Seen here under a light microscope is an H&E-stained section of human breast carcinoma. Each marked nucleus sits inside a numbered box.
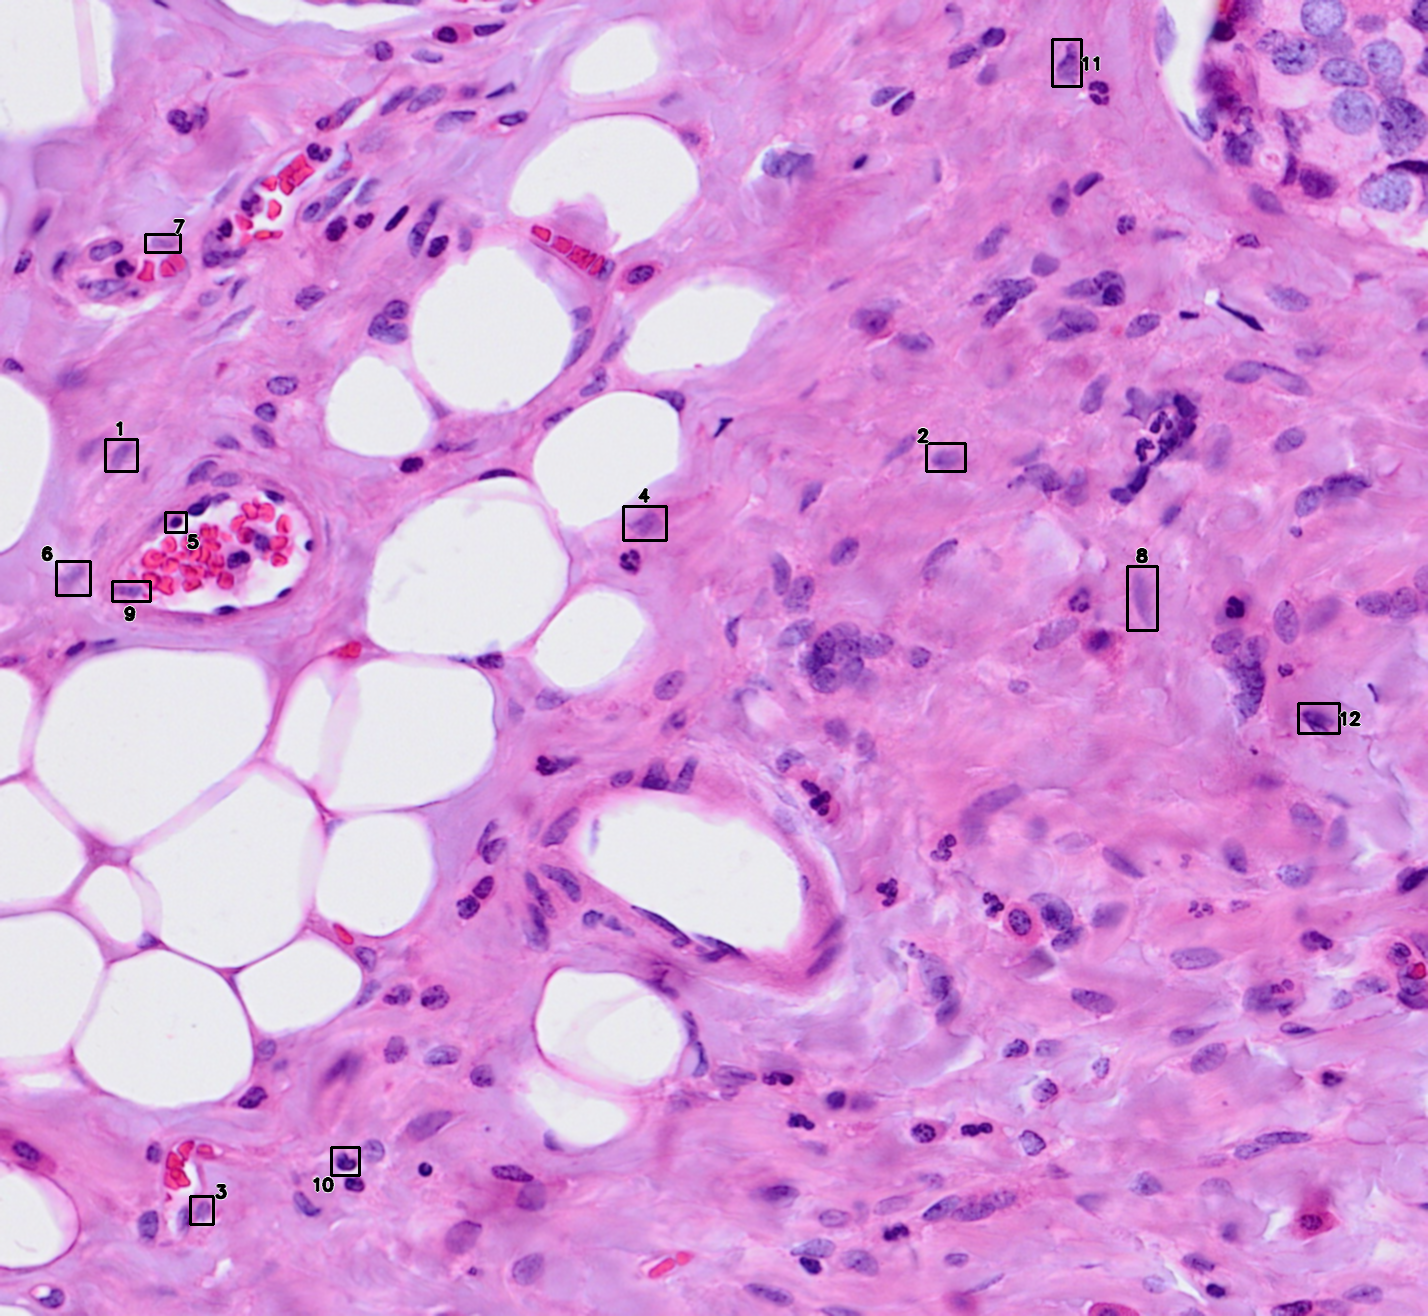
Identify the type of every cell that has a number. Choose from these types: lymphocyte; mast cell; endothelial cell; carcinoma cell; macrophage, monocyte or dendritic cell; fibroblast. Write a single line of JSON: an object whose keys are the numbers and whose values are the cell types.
{"1": "fibroblast", "2": "fibroblast", "3": "endothelial cell", "4": "fibroblast", "5": "endothelial cell", "6": "fibroblast", "7": "endothelial cell", "8": "fibroblast", "9": "endothelial cell", "10": "lymphocyte", "11": "fibroblast", "12": "fibroblast"}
